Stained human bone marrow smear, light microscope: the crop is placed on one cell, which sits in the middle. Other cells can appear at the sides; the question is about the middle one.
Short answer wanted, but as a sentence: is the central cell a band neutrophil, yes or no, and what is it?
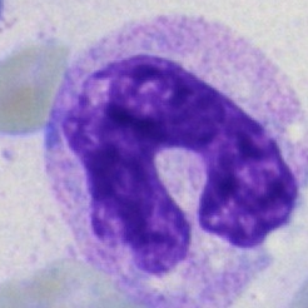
Yes, a band neutrophil is the cell positioned in the middle of the field.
